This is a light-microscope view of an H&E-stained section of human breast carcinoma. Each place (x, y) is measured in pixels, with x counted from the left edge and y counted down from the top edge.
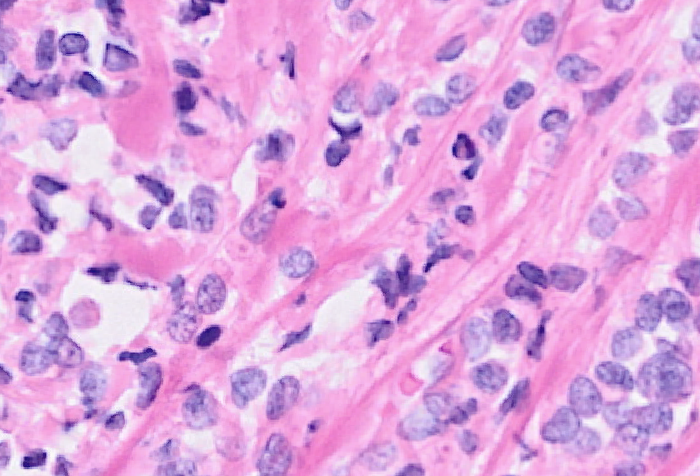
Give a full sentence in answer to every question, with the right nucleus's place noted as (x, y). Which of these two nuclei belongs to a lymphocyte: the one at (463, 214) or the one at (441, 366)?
Between the two nuclei, the one sitting at (463, 214) belongs to a lymphocyte.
